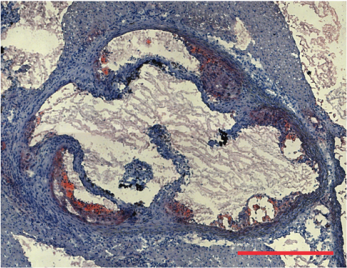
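This section shows the aortic root cut across at the valve, with a blue-counterstained wall surrounding a wide lumen and leaflets projecting inward. The lumen is filled with loose, pale, faintly pink material.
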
